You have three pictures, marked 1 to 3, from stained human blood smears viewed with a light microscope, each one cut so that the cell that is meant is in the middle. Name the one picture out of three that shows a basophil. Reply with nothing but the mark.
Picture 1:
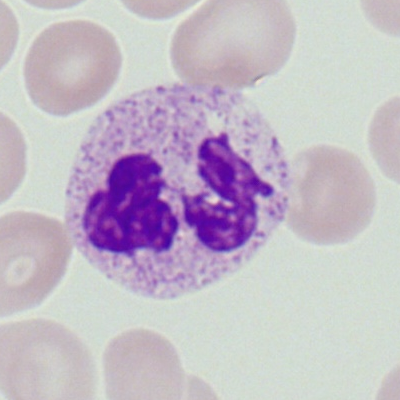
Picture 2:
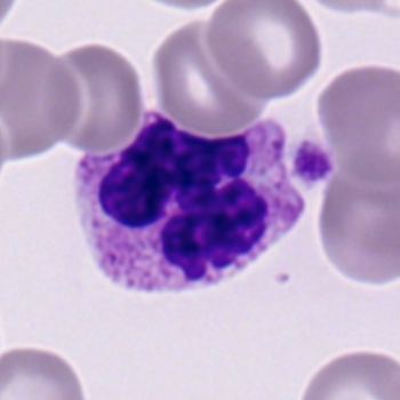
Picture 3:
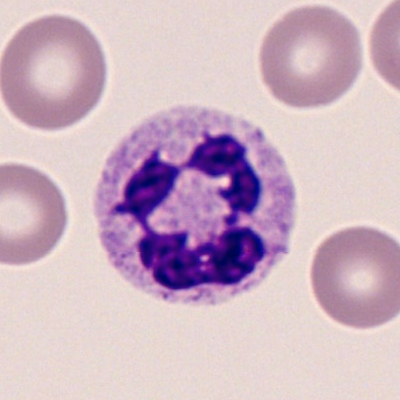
2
